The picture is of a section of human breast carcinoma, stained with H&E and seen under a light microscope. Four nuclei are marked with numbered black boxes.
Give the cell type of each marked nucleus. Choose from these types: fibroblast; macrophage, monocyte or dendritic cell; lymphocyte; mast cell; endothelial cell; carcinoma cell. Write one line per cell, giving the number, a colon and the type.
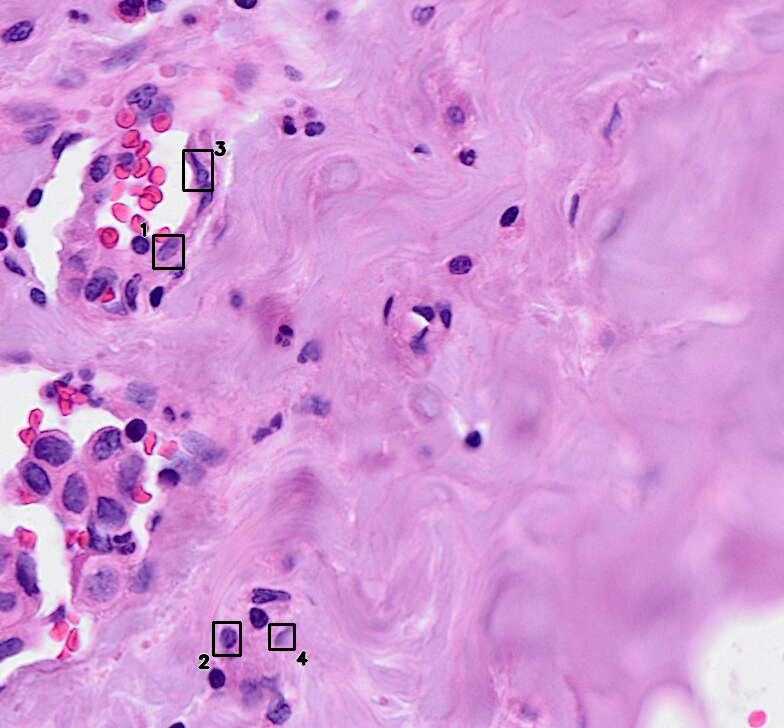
1: endothelial cell
2: lymphocyte
3: endothelial cell
4: fibroblast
